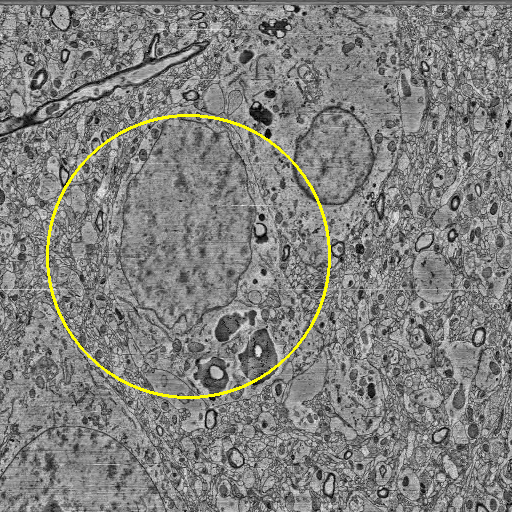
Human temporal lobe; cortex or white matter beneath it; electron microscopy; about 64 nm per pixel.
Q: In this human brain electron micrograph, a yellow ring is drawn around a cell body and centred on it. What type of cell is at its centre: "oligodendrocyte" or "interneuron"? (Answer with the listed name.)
interneuron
